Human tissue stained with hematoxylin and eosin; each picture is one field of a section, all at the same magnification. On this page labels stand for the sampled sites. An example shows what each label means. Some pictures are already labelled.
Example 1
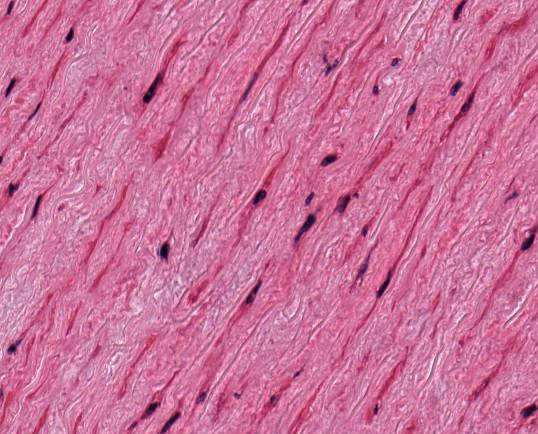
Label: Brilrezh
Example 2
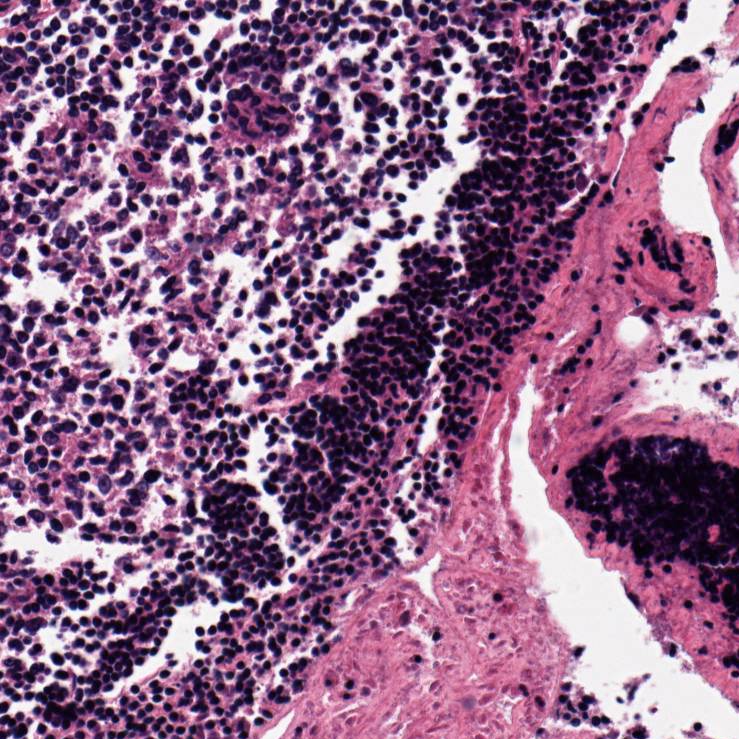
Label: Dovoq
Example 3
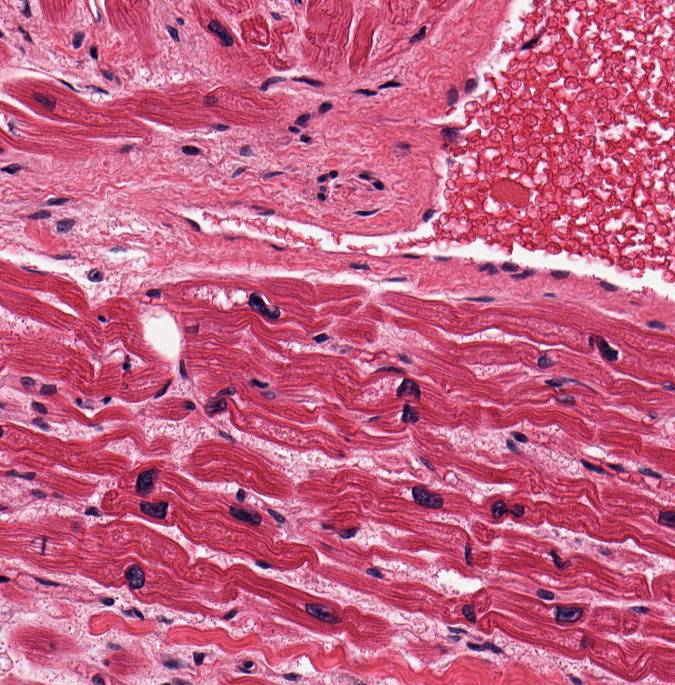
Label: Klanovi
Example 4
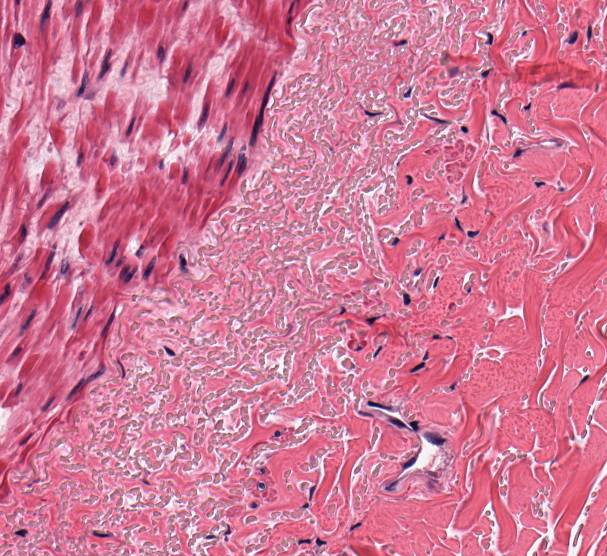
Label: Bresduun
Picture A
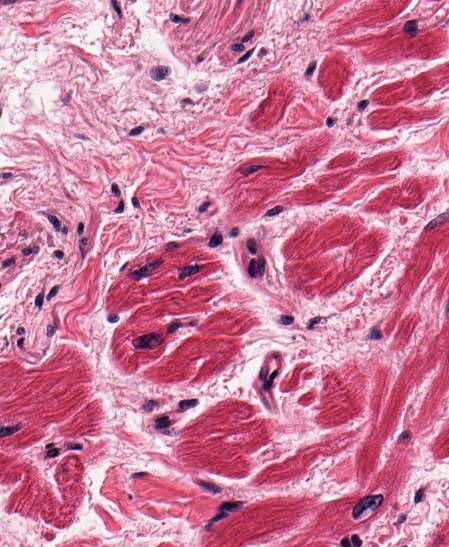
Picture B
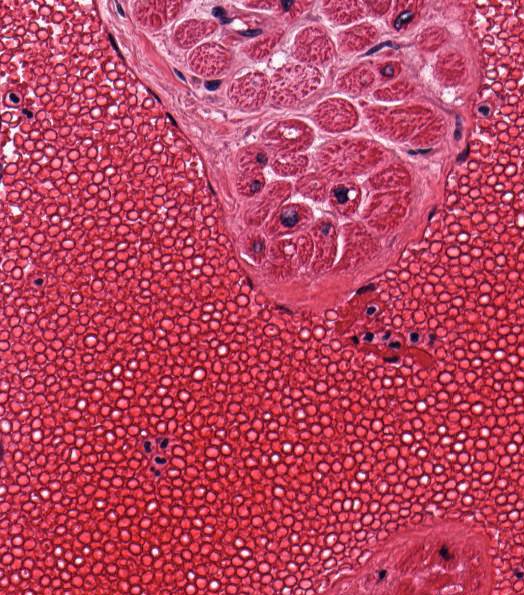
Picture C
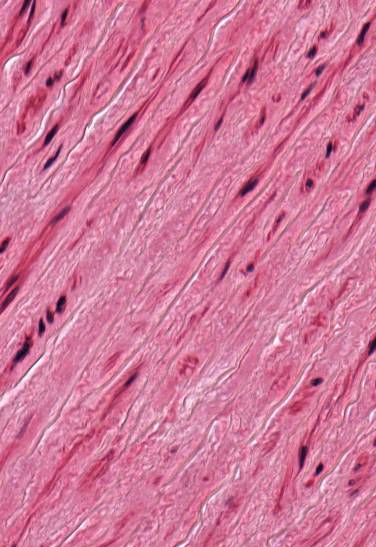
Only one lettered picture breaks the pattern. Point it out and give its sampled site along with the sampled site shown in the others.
C (Brilrezh) is the exception; every other picture is Klanovi.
